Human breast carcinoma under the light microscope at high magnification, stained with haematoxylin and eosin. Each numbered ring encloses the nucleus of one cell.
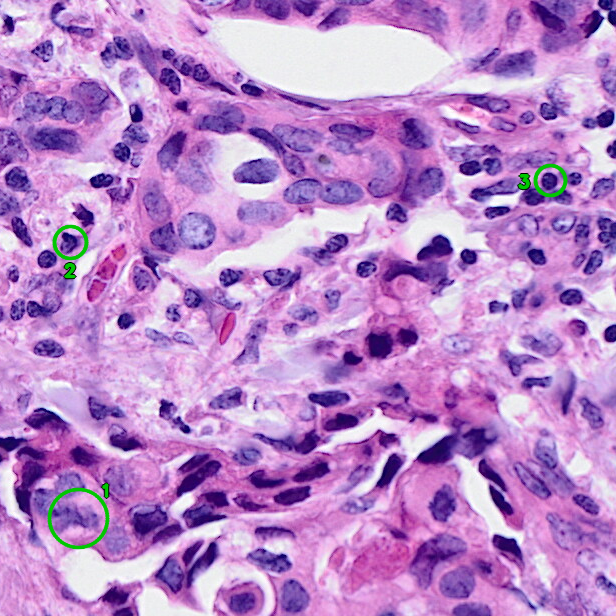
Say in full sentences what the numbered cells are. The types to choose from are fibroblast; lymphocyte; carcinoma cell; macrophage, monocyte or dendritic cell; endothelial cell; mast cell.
Cell 1 is a carcinoma cell, cell 2 is a lymphocyte and cell 3 is a lymphocyte.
